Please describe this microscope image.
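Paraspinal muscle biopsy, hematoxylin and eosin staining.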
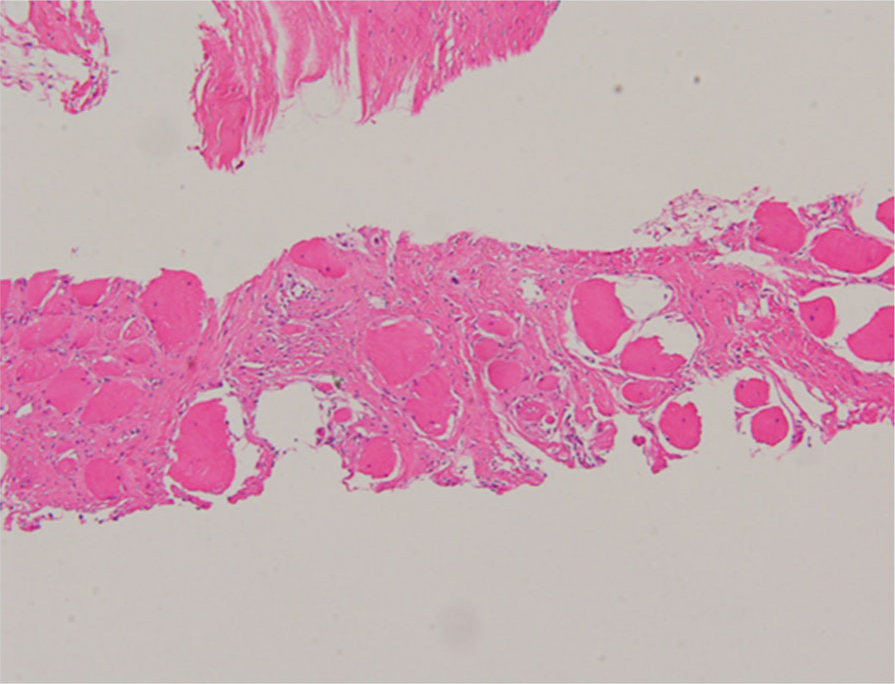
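The fibers appear as rounded to polygonal, evenly bright pink profiles of markedly varying size, with only occasional small dark nuclei at their edges. Between and around the fibers lies a great deal of paler pink, wavy connective tissue with scattered small, dark, elongated nuclei, so that the fibers stand apart singly or in small clusters instead of packing closely together. Clear spaces separate some fibers from the surrounding tissue. At the top, a separate fragment shows fibers cut lengthwise, running in parallel bands.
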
